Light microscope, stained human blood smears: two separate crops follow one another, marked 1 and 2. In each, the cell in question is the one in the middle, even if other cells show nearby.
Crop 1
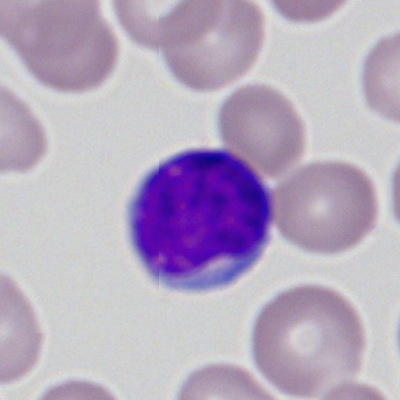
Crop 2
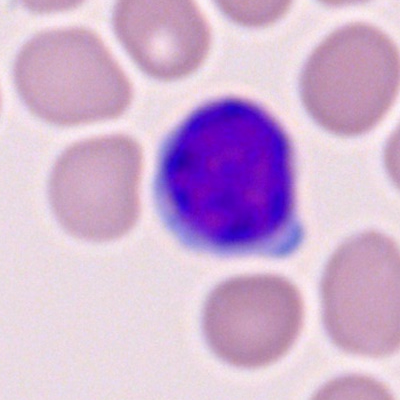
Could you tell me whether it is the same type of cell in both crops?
yes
